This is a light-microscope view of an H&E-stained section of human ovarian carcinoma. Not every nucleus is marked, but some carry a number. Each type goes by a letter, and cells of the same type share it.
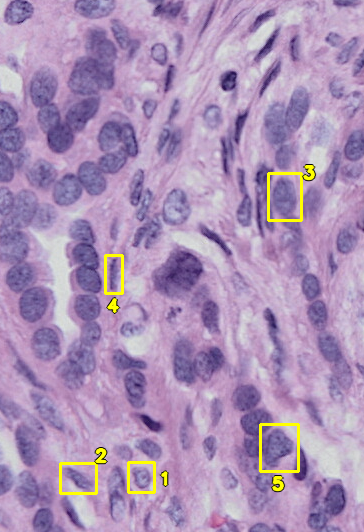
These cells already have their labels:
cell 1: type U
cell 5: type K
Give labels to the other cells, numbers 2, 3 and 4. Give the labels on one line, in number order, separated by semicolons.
type U; type K; type U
